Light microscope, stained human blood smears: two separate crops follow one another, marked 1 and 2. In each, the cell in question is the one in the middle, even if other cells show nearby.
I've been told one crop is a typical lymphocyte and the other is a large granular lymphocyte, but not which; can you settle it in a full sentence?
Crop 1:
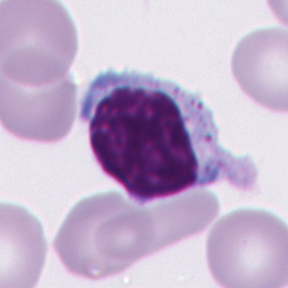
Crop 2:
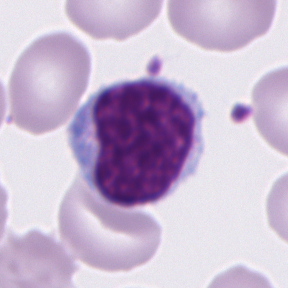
Crop 1 is labelled a large granular lymphocyte, and crop 2 is labelled a typical lymphocyte.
